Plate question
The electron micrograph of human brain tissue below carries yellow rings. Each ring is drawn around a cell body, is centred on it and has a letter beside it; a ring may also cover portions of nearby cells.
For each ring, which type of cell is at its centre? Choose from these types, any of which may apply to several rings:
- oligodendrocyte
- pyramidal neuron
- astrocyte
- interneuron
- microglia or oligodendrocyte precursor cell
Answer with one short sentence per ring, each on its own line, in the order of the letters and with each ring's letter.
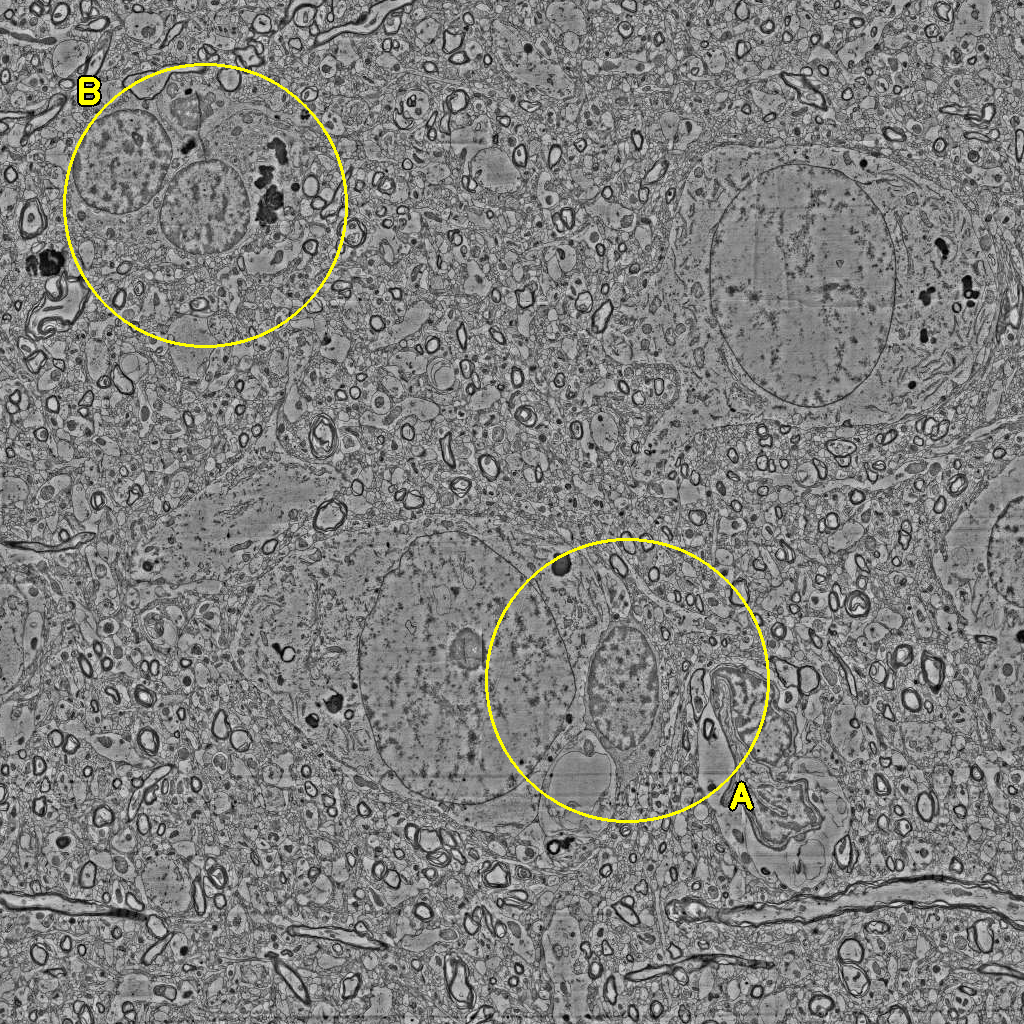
The cell ringed as A is an oligodendrocyte.
The cell ringed as B is an oligodendrocyte.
